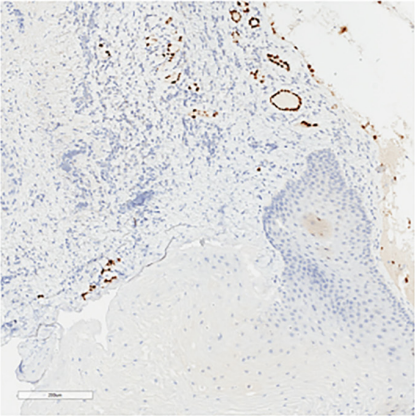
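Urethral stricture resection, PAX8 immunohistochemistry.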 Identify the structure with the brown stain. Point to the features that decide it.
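Brown stain outlines small round tubules in the upper stroma. The overlying stratified epithelium at lower right is unstained.
Conclusion: glandular areas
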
